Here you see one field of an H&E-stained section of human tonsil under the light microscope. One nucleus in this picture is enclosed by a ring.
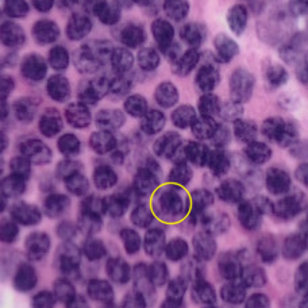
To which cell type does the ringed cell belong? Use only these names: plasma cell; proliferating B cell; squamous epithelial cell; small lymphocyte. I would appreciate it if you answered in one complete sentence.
The classification of the ringed cell is as a small lymphocyte.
